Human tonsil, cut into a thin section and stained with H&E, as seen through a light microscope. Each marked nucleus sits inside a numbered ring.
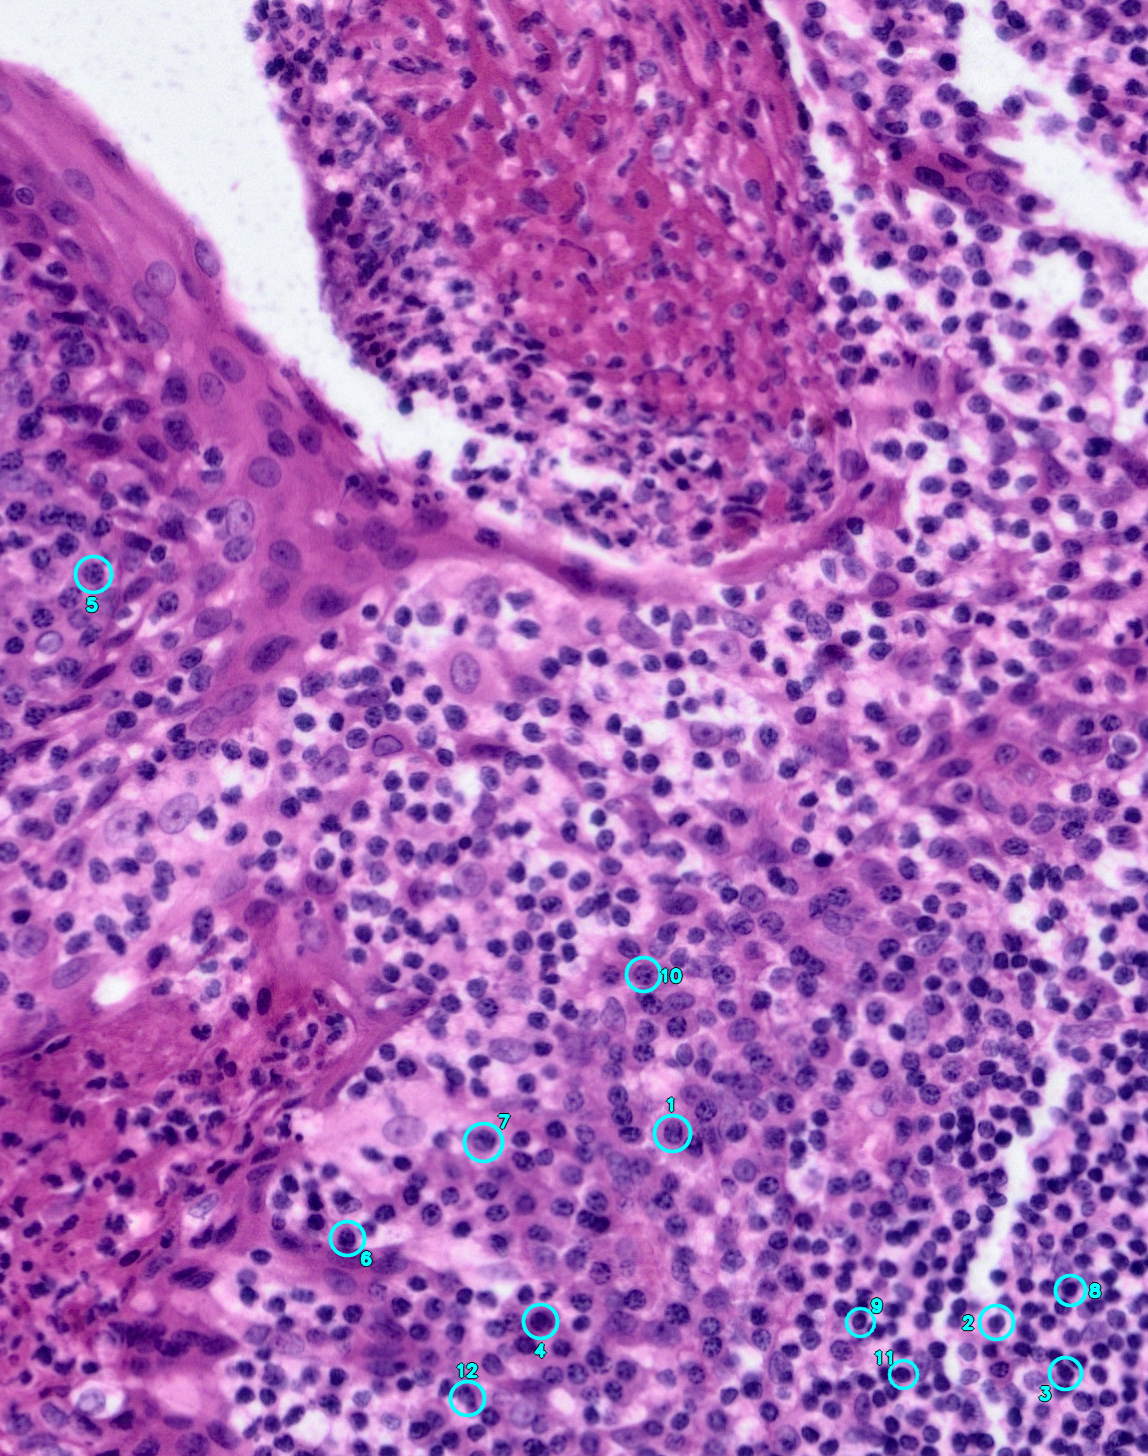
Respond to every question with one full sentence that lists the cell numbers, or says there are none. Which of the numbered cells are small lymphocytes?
The cells marked 2, 3, 8, 9 and 11 in the section are small lymphocytes.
